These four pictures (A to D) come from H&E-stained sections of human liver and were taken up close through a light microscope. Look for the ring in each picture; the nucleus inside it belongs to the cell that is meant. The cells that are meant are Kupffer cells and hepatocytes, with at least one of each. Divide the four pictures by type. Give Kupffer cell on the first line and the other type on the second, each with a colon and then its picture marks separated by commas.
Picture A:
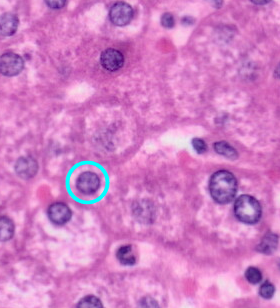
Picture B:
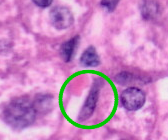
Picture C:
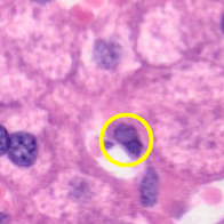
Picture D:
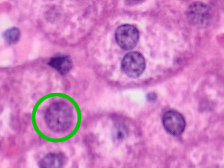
Kupffer cell: B, C
hepatocyte: A, D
